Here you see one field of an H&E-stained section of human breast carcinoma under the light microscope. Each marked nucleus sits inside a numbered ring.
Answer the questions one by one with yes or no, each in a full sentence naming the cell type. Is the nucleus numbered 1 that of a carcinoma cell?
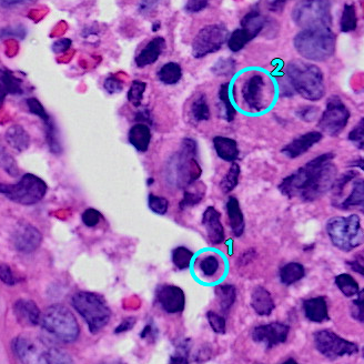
No, the cell tagged 1 is a lymphocyte, not a carcinoma cell.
